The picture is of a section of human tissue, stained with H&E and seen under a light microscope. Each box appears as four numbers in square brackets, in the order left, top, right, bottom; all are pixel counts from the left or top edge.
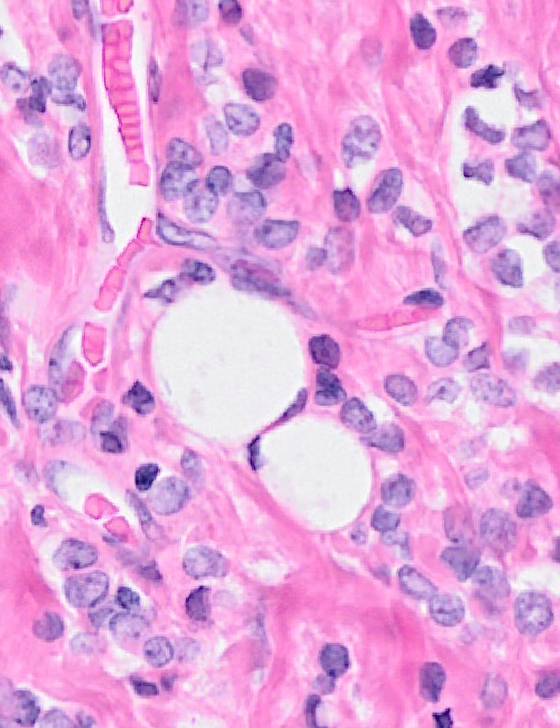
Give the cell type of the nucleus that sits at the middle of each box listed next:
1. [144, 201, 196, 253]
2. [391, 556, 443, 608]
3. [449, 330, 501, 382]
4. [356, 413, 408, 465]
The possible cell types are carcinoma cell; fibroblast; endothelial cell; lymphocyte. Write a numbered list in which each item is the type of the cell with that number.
1. endothelial cell
2. carcinoma cell
3. carcinoma cell
4. carcinoma cell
